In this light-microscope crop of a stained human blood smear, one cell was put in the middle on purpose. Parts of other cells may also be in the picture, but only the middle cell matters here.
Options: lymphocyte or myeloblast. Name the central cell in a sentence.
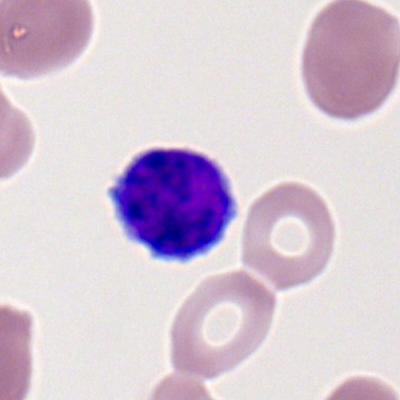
What the crop centres on is a lymphocyte.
